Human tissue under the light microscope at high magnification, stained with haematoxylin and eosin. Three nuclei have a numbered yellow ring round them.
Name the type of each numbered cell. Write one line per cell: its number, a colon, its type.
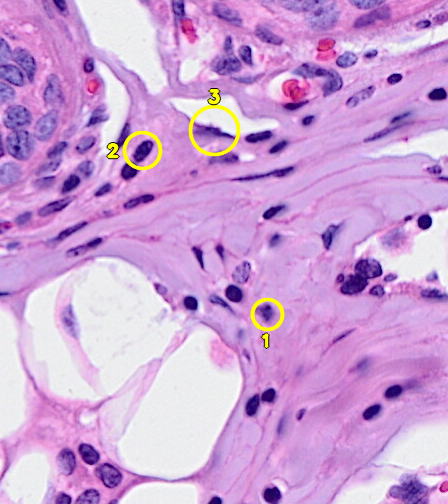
1: lymphocyte
2: lymphocyte
3: fibroblast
